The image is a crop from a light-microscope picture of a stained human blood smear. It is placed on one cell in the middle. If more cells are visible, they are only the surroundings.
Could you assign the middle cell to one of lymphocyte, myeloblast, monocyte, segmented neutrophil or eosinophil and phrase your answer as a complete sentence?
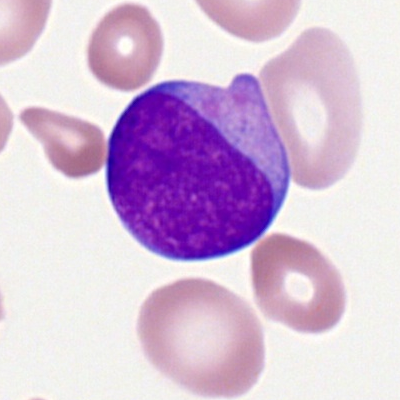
By type, the central cell of the crop is a myeloblast.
